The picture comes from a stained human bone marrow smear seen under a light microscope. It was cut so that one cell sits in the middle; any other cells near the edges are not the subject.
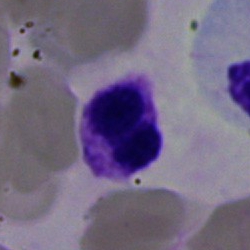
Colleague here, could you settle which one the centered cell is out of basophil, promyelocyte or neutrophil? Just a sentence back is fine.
In the centre of this crop there is a basophil.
